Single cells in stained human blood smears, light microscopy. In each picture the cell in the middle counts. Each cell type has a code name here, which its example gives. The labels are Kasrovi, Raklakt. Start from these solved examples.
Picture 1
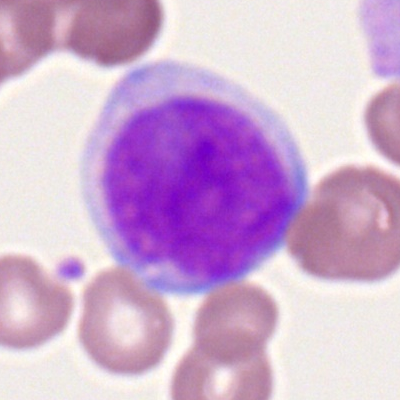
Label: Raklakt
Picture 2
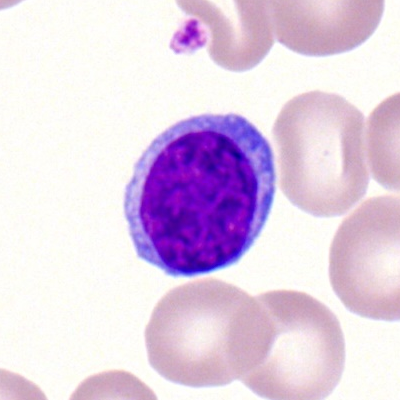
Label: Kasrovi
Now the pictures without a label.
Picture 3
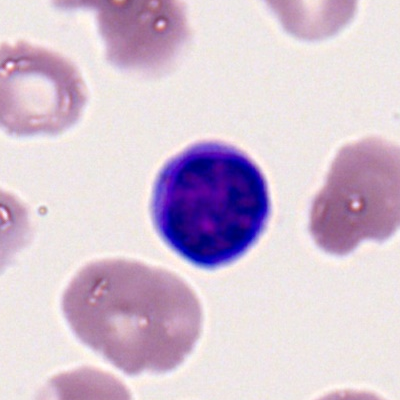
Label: Kasrovi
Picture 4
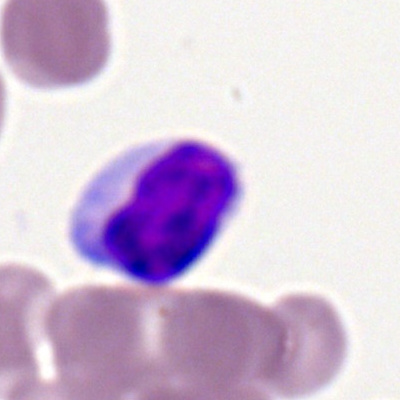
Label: Kasrovi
